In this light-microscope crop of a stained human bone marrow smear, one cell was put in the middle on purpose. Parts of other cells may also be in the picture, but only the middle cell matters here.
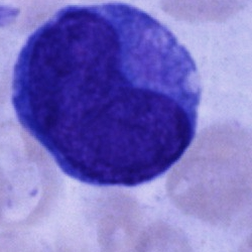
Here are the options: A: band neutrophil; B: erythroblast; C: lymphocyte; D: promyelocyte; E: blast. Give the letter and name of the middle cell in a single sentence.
The correct option, E, names the middle cell as a blast.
